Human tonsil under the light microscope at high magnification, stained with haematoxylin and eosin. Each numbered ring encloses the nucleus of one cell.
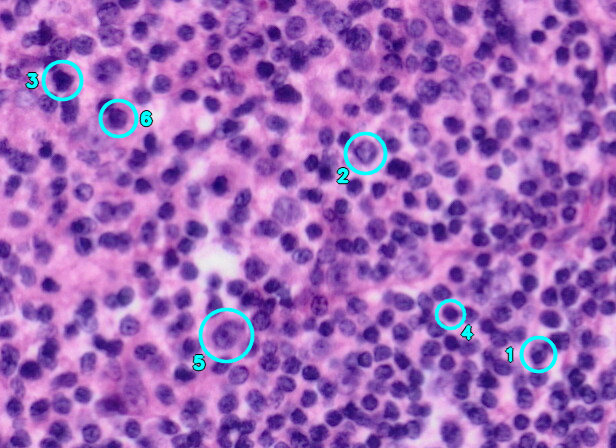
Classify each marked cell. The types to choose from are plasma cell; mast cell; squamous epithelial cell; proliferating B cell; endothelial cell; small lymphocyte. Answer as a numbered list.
1. small lymphocyte
2. proliferating B cell
3. proliferating B cell
4. small lymphocyte
5. proliferating B cell
6. proliferating B cell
